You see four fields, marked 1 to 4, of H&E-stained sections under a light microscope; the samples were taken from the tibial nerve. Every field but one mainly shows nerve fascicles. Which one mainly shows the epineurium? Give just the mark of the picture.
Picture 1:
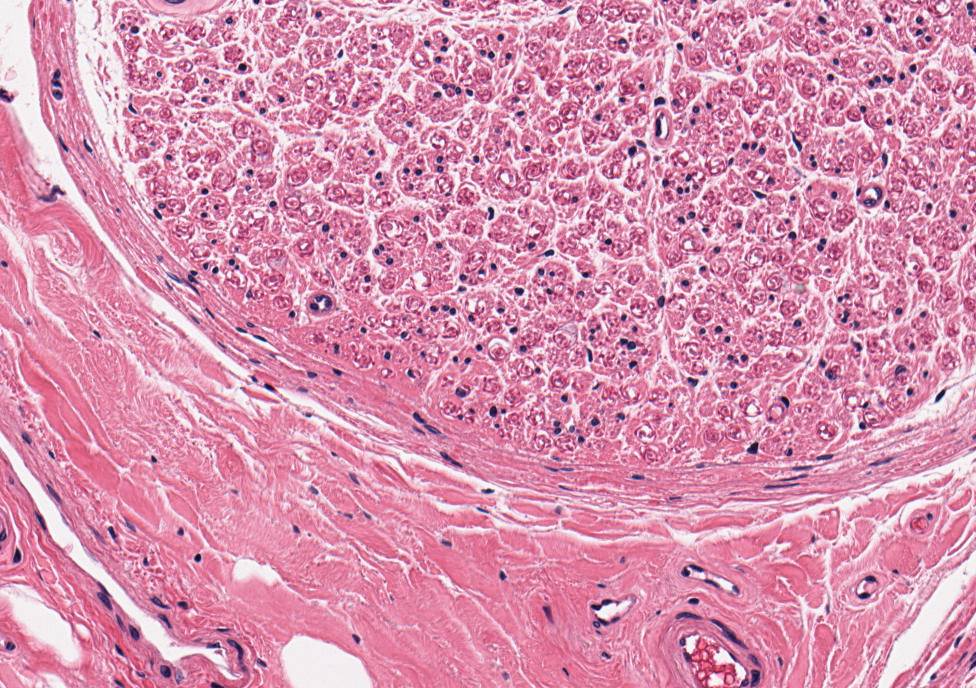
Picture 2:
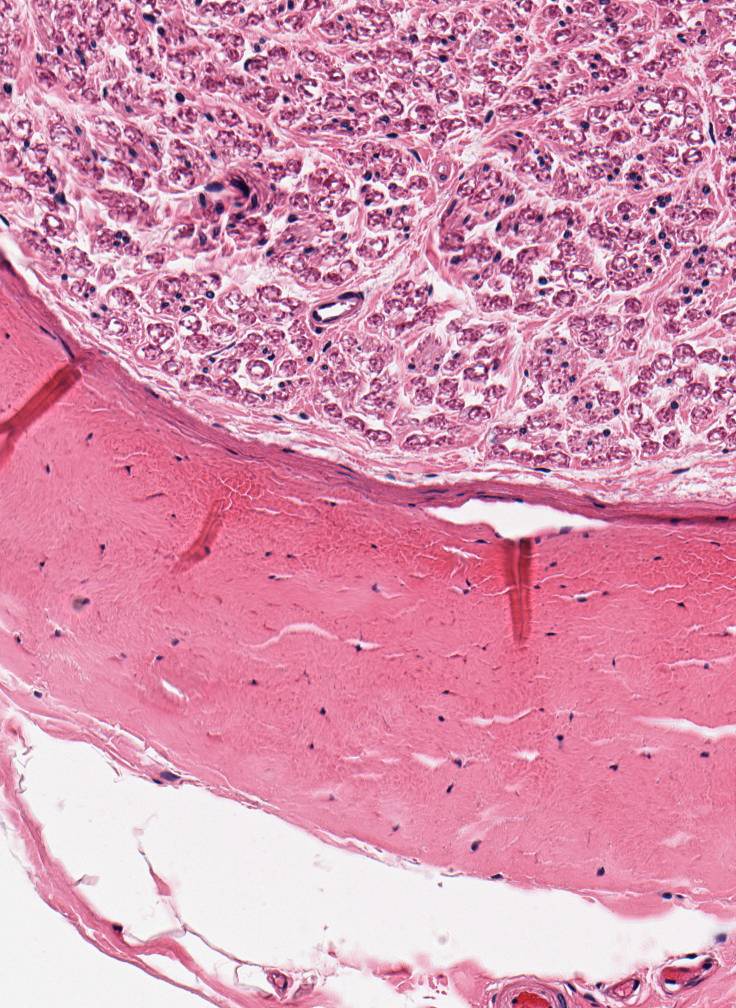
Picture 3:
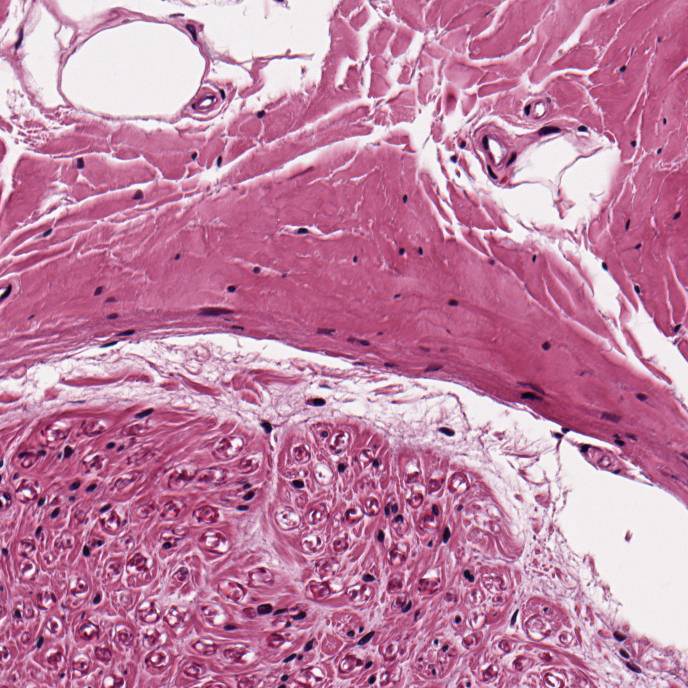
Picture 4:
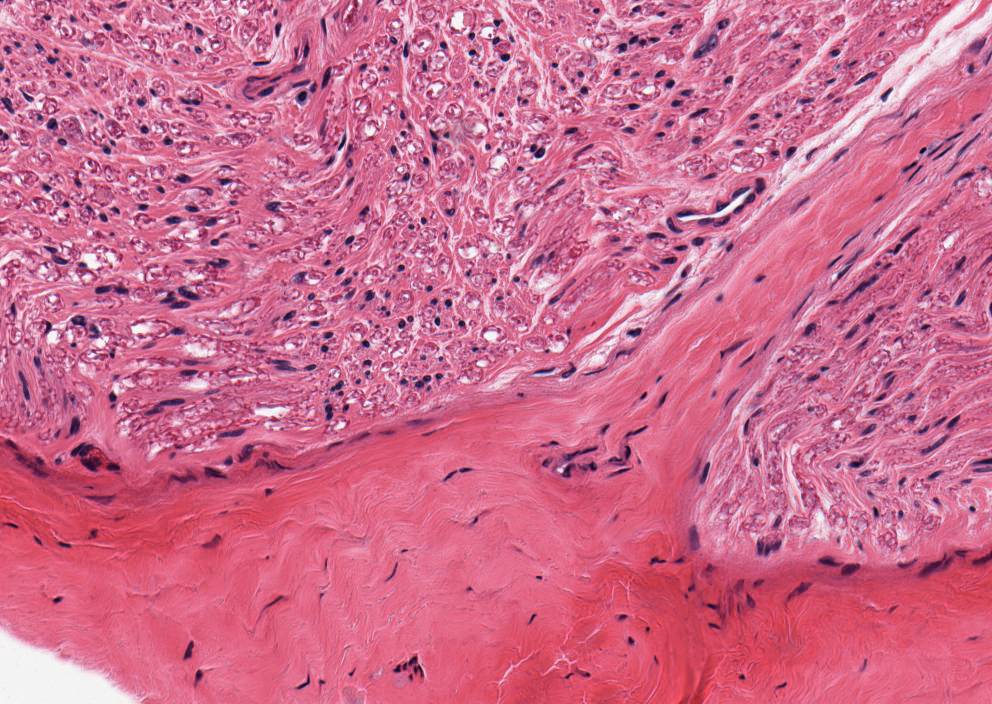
3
